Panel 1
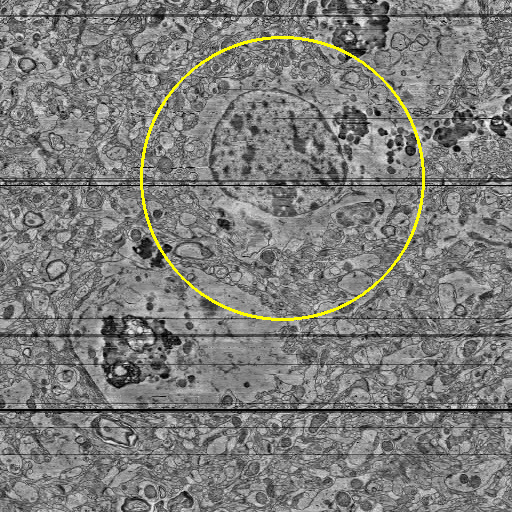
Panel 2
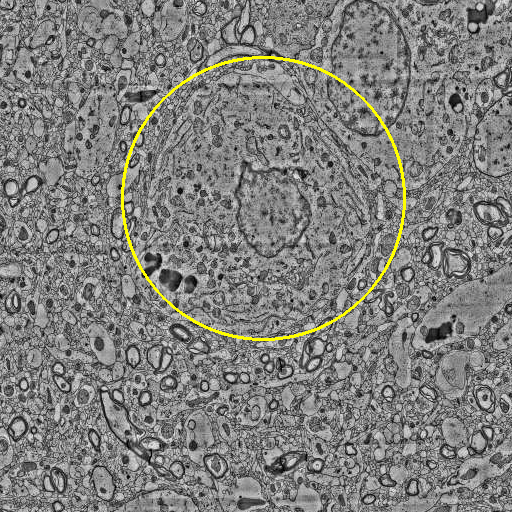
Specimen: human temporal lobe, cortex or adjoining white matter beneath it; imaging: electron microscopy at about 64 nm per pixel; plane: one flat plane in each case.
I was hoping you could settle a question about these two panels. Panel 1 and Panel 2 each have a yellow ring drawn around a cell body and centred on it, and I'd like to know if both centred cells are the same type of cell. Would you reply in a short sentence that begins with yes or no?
No, they are two types of cell.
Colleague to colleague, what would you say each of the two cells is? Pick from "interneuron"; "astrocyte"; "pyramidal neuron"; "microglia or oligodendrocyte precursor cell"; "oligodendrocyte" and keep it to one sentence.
The cell in the first picture is an astrocyte; the second picture's cell is an interneuron.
